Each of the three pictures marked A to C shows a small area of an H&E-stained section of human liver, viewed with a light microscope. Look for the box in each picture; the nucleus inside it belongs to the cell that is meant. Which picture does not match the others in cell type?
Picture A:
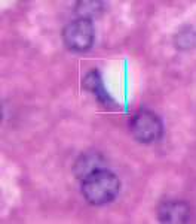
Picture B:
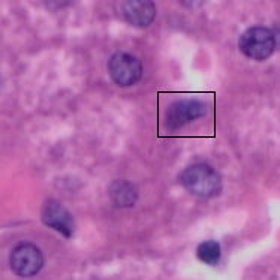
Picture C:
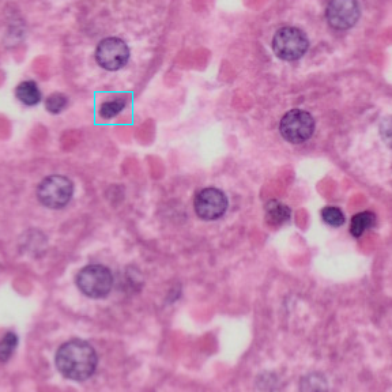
A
